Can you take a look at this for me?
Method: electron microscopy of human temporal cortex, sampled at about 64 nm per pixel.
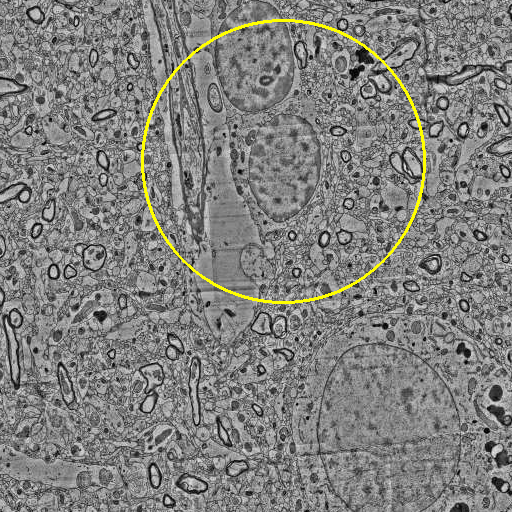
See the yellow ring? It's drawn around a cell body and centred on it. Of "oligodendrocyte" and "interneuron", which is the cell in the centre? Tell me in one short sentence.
The one in the centre is an oligodendrocyte.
